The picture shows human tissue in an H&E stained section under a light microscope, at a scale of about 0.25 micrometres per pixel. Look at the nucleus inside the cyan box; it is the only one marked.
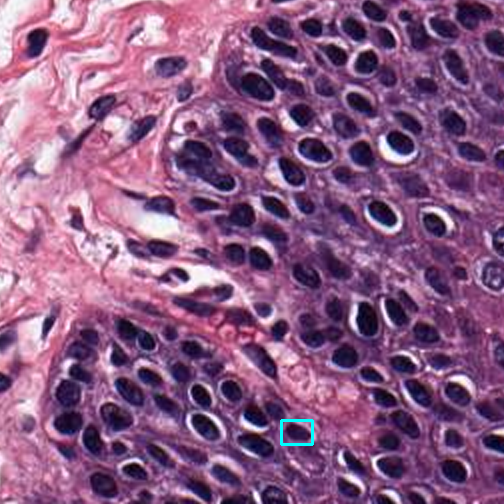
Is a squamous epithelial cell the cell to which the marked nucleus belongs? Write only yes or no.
yes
